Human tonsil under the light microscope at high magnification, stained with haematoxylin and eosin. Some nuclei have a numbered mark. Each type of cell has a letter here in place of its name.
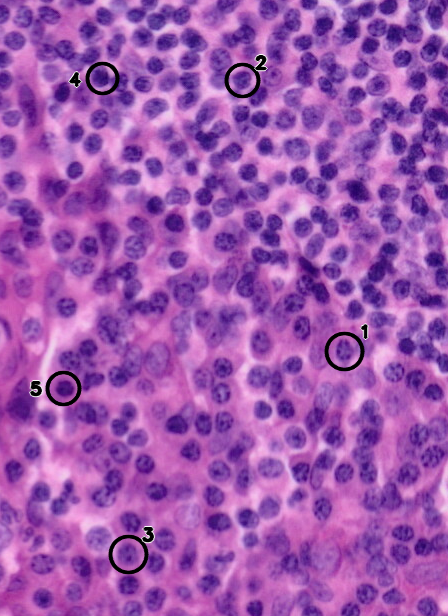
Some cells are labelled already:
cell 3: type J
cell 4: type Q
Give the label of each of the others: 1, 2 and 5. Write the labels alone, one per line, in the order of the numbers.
type J
type Q
type J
